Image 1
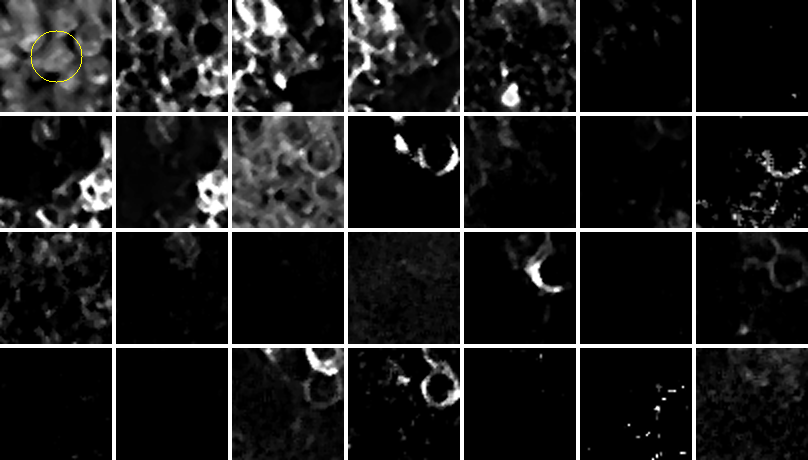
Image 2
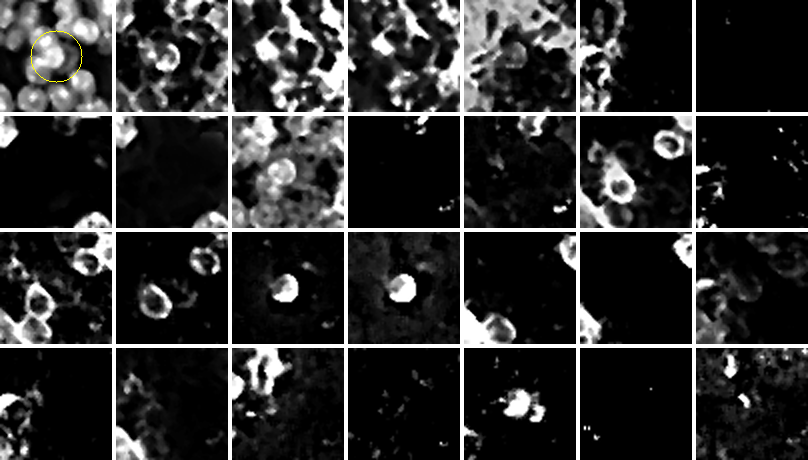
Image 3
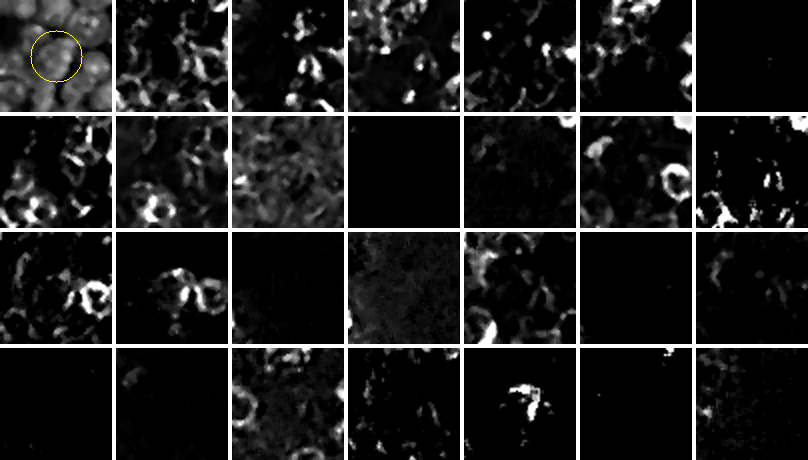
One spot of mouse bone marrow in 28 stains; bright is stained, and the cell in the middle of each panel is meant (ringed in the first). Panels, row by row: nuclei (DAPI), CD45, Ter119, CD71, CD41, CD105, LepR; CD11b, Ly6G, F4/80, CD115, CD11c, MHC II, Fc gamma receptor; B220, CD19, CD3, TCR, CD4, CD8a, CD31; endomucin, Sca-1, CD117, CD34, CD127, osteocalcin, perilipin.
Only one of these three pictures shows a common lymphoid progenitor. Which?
Picture 3.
